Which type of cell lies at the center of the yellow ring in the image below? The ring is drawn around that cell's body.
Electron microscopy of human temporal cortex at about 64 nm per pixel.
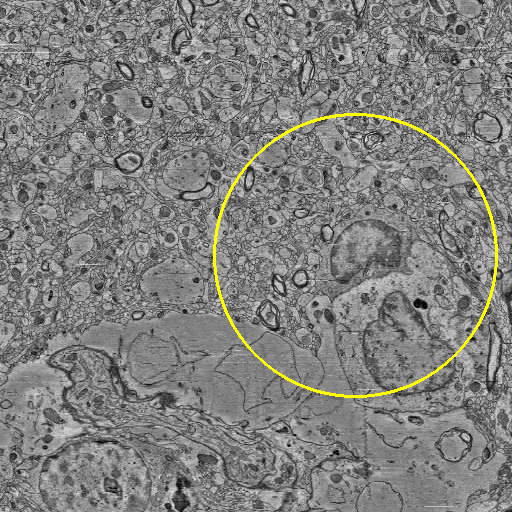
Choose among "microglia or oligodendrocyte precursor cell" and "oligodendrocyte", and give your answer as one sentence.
The cell body at the center belongs to an oligodendrocyte.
